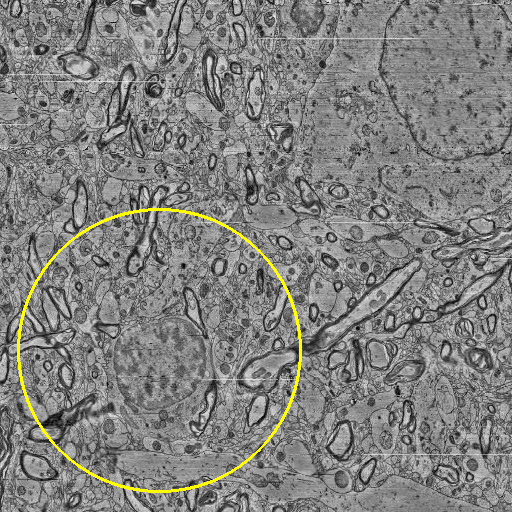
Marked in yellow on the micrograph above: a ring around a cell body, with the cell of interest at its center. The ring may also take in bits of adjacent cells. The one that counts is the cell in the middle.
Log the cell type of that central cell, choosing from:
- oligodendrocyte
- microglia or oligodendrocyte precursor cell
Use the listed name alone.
oligodendrocyte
